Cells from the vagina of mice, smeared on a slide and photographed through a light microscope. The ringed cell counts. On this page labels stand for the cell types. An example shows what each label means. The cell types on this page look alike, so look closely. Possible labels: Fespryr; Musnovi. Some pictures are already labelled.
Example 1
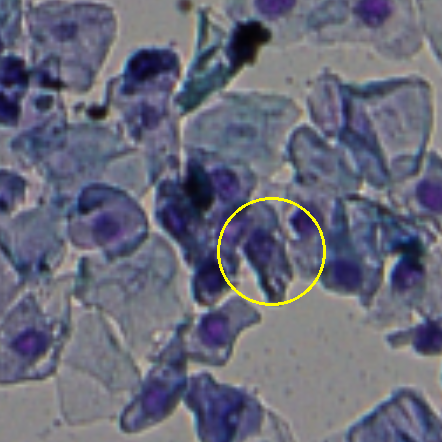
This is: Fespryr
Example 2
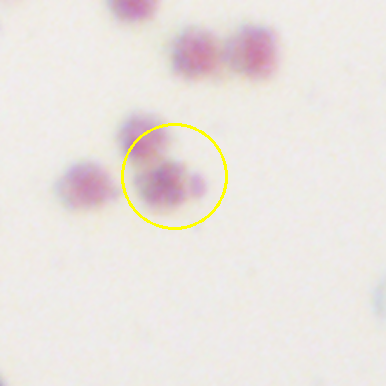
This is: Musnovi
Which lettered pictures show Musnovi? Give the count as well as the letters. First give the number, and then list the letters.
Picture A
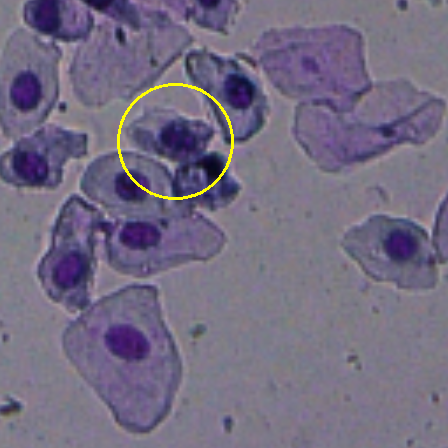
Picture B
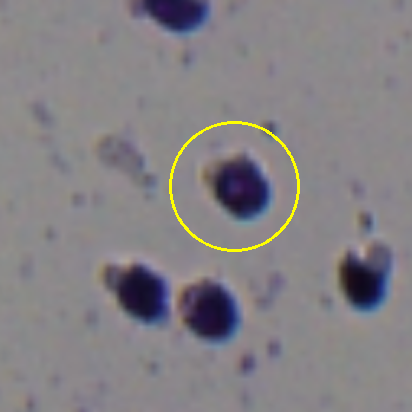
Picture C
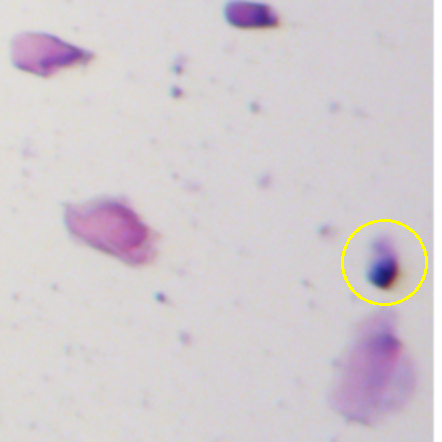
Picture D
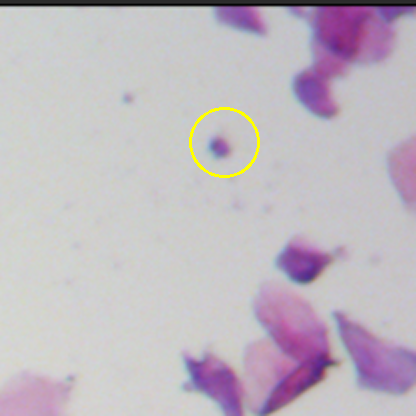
Count: 2 (B, D)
